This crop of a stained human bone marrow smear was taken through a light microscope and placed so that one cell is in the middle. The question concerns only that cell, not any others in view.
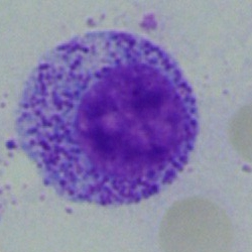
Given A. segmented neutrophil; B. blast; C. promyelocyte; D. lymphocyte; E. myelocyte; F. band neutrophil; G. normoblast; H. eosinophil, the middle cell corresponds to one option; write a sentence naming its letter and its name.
That middle cell is a myelocyte, and option E is therefore correct.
